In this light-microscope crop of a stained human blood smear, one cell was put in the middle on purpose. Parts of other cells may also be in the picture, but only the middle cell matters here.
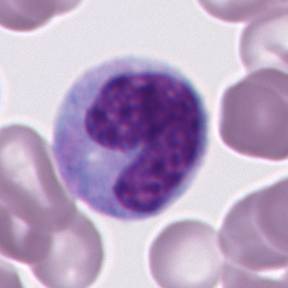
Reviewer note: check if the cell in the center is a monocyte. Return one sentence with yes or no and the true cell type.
Yes, the central cell of this crop corresponds to a monocyte.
